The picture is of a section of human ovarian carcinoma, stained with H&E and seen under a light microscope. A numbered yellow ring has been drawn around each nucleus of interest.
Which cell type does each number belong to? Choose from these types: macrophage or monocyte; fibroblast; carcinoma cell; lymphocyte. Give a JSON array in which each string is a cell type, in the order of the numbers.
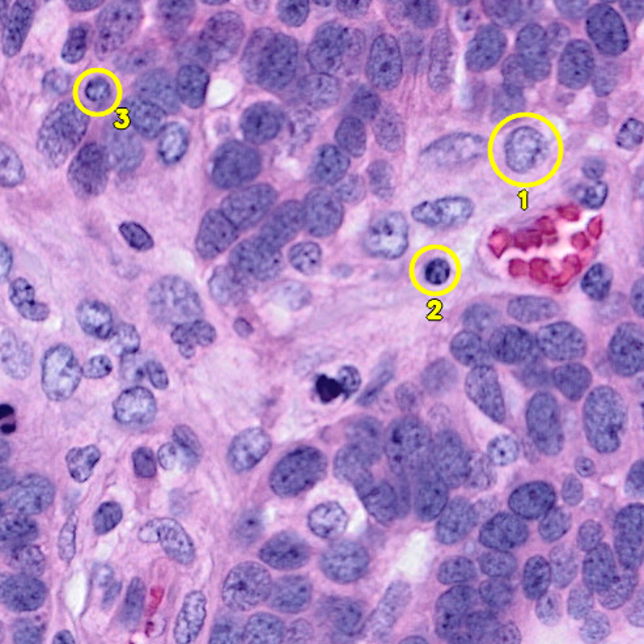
["fibroblast", "lymphocyte", "macrophage or monocyte"]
